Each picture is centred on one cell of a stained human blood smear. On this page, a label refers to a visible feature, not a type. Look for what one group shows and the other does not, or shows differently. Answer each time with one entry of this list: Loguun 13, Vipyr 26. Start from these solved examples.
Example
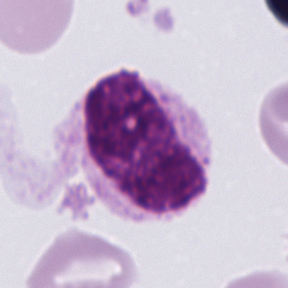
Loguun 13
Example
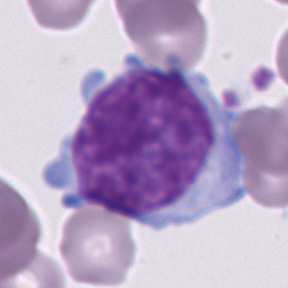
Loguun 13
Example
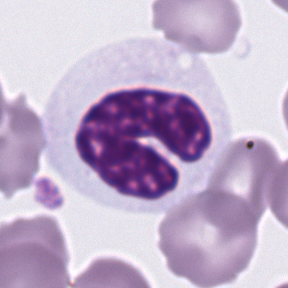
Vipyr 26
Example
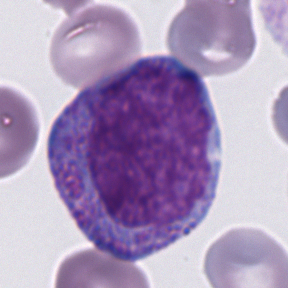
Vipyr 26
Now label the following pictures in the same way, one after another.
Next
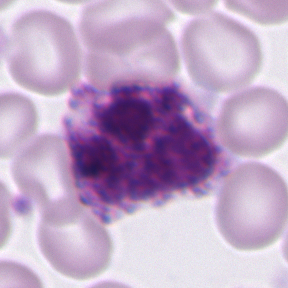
Loguun 13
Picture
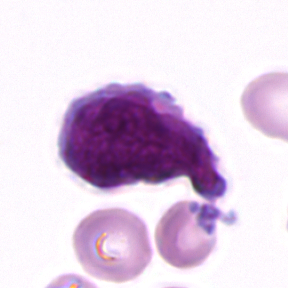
Loguun 13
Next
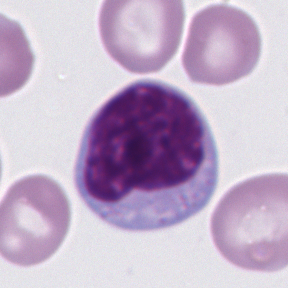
Vipyr 26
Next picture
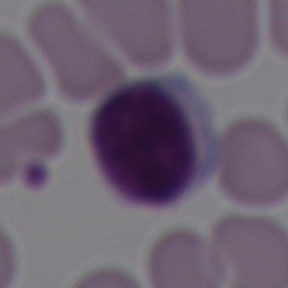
Vipyr 26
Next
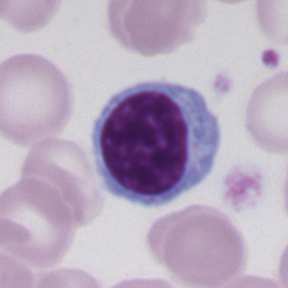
Vipyr 26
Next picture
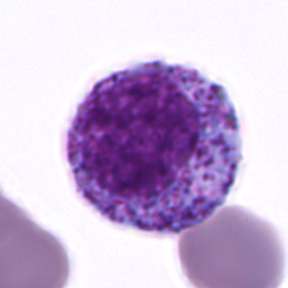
Vipyr 26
